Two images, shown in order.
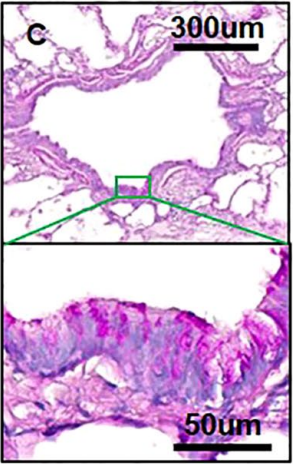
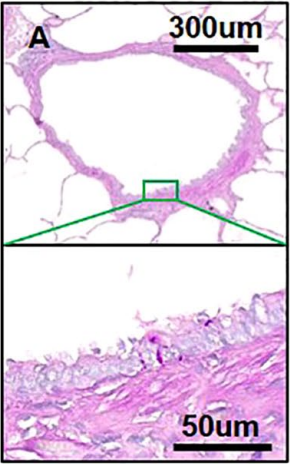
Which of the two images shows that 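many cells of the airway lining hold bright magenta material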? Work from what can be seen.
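First image: numerous cells in the lining layer are filled with bright magenta material. Second image: the lining layer is pale with little magenta material. On this evidence: the first image.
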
